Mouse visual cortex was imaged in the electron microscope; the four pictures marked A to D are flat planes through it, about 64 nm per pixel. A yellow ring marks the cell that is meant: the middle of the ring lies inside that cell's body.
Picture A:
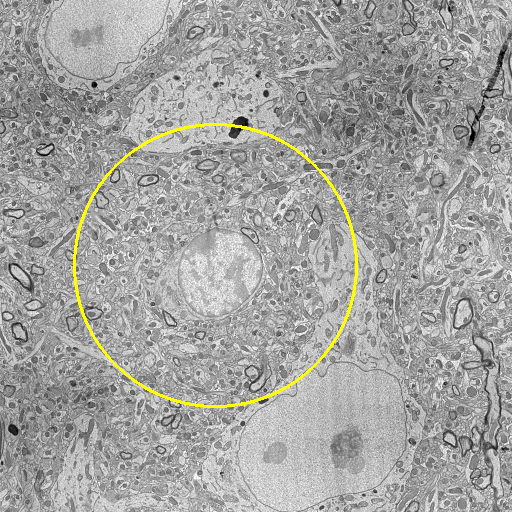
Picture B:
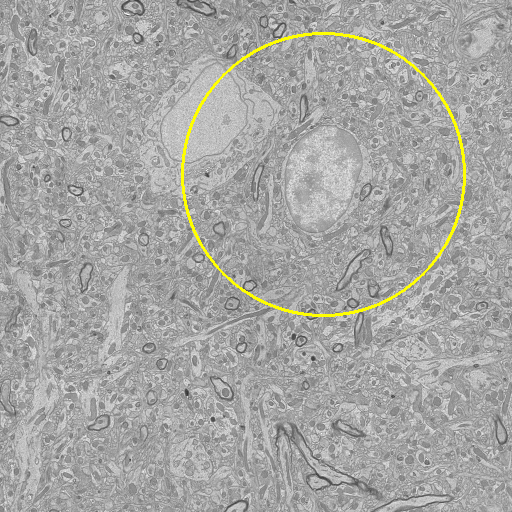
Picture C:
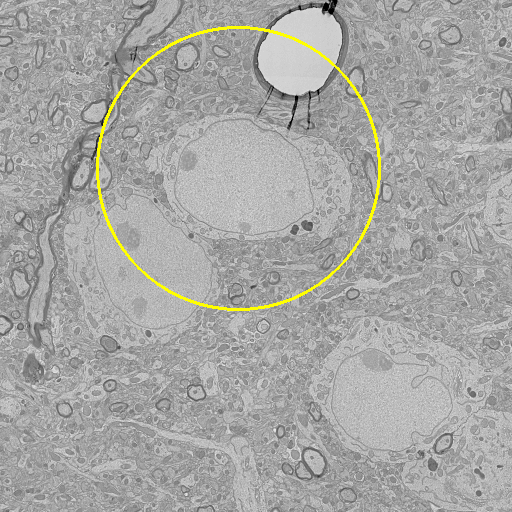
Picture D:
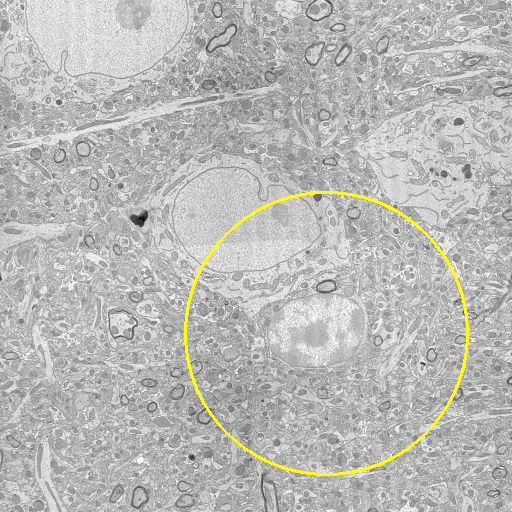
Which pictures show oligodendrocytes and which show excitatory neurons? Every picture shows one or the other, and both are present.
Pictures A, B and D show oligodendrocytes, while picture C shows an excitatory neuron.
